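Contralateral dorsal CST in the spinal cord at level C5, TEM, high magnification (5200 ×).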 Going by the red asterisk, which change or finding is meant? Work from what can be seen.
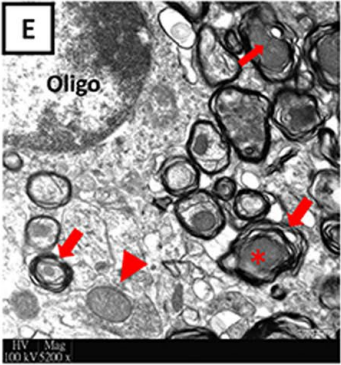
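The axon under the asterisk is small and electron-dense. It is enclosed by a thick, irregular rim of myelin lamellae.
Hence: shrunken, degenerated axons.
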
